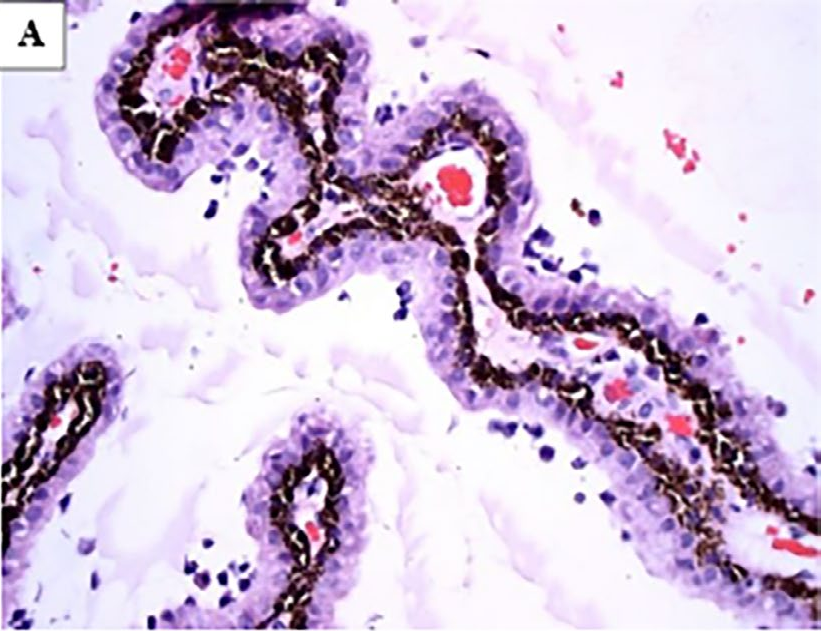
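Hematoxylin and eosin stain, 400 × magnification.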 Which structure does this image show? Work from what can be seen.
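Ciliary process. Branching folds with a thin core holding vessels filled with red blood cells. Each fold is covered by a double epithelium: a dark brown pigmented inner layer and an outer layer of pale cuboidal cells.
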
